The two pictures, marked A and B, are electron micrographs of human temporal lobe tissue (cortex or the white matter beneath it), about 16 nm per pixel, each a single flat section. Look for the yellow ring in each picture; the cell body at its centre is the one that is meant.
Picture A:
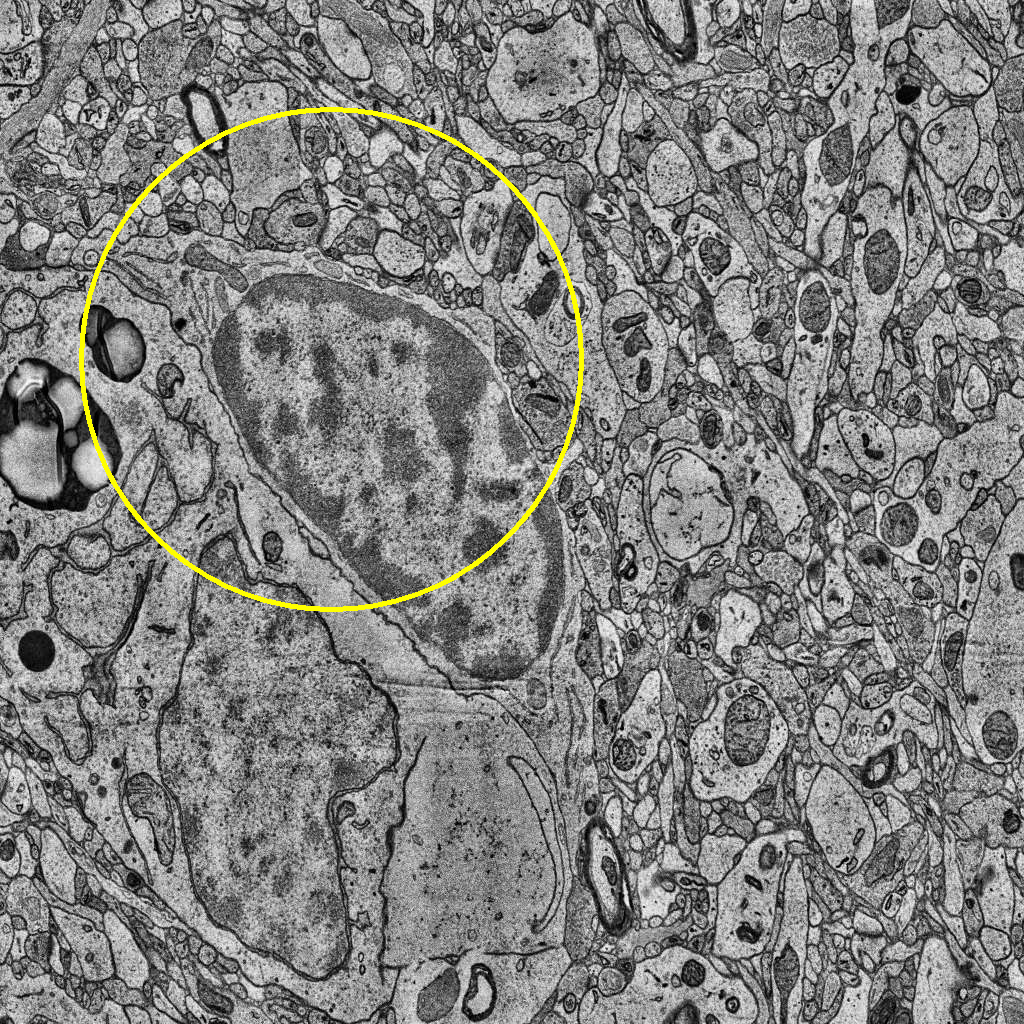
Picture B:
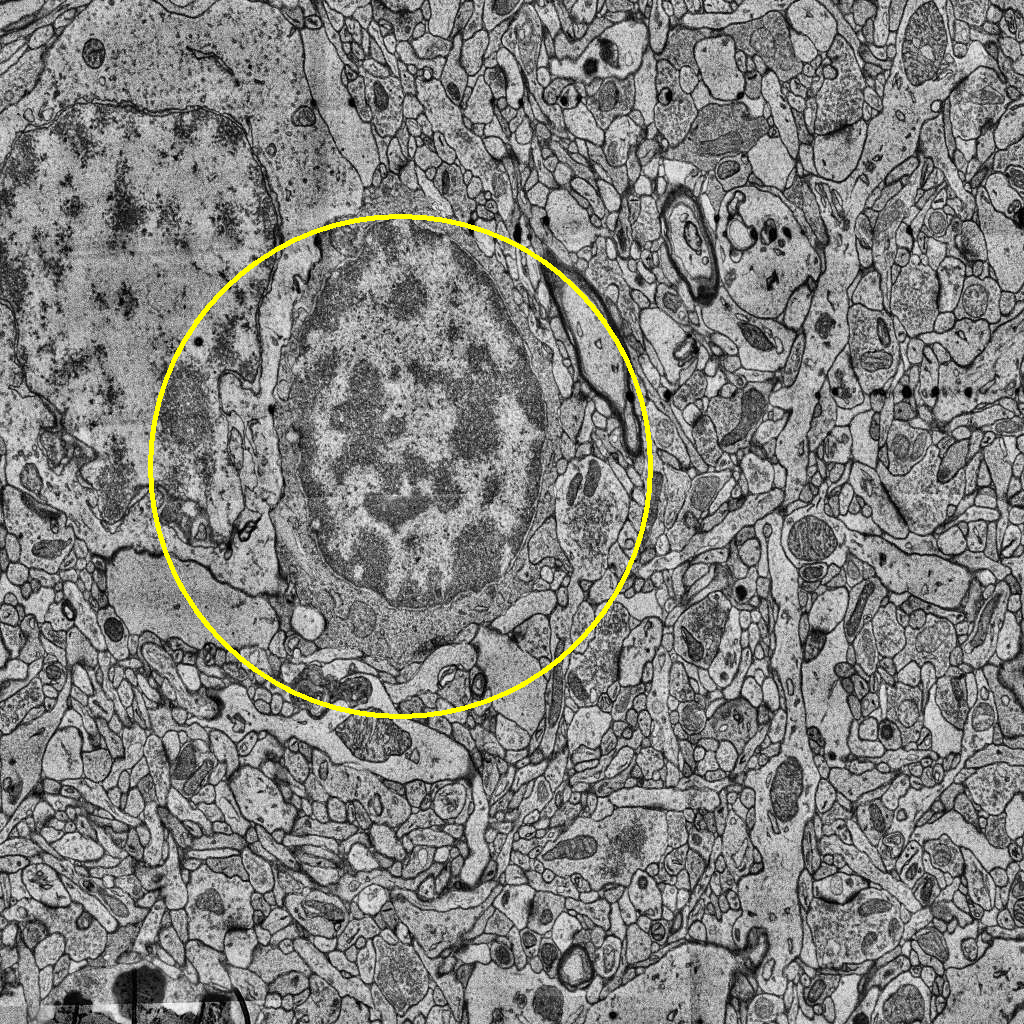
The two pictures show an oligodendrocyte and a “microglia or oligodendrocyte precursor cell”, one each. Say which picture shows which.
Picture A is of a “microglia or oligodendrocyte precursor cell”, and picture B is of an oligodendrocyte.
